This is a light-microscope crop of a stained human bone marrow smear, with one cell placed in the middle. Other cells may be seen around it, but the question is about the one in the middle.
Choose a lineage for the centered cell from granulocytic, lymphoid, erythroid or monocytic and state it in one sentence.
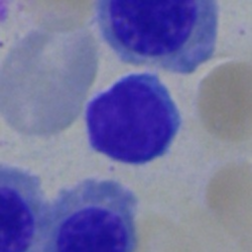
The middle cell is placed in the lymphoid lineage.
